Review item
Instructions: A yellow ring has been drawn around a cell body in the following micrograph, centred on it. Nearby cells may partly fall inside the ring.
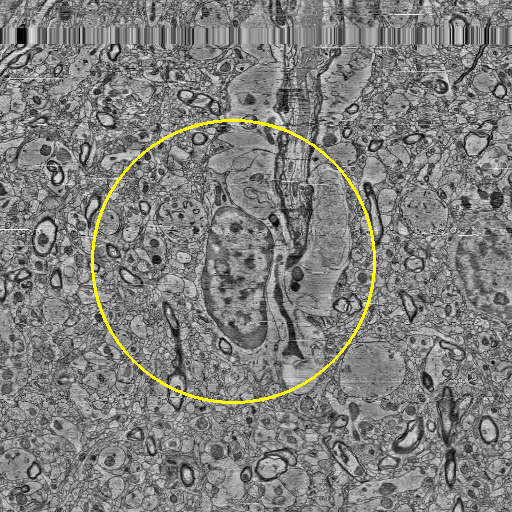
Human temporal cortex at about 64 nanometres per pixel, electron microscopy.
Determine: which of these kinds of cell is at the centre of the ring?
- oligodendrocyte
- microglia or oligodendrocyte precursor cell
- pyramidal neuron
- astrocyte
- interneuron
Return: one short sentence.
The cell body in the middle of the ring is that of a microglial cell or oligodendrocyte precursor cell.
